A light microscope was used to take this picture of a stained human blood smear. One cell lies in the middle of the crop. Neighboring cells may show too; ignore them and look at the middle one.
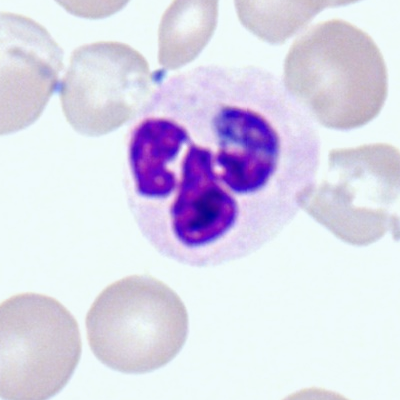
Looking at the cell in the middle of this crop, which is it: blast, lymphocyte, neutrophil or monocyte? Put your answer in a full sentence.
In this crop, the cell at the very middle is a neutrophil.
